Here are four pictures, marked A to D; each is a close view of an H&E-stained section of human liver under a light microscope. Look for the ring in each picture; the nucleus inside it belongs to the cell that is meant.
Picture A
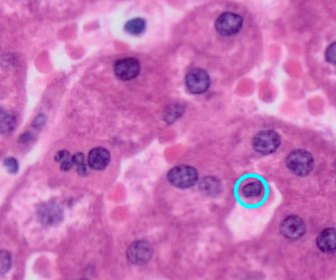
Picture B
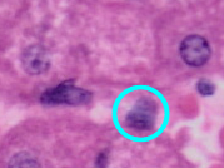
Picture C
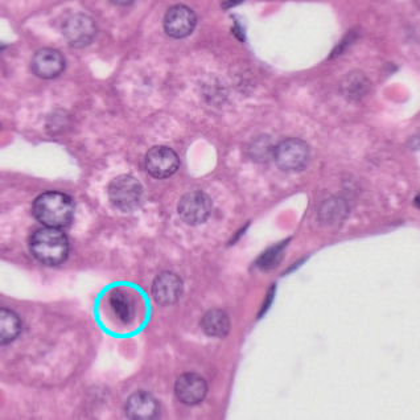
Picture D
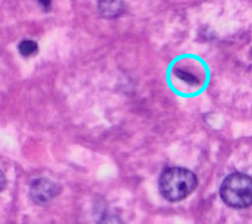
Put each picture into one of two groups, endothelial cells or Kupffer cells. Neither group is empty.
A: Kupffer cell
B: endothelial cell
C: Kupffer cell
D: endothelial cell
